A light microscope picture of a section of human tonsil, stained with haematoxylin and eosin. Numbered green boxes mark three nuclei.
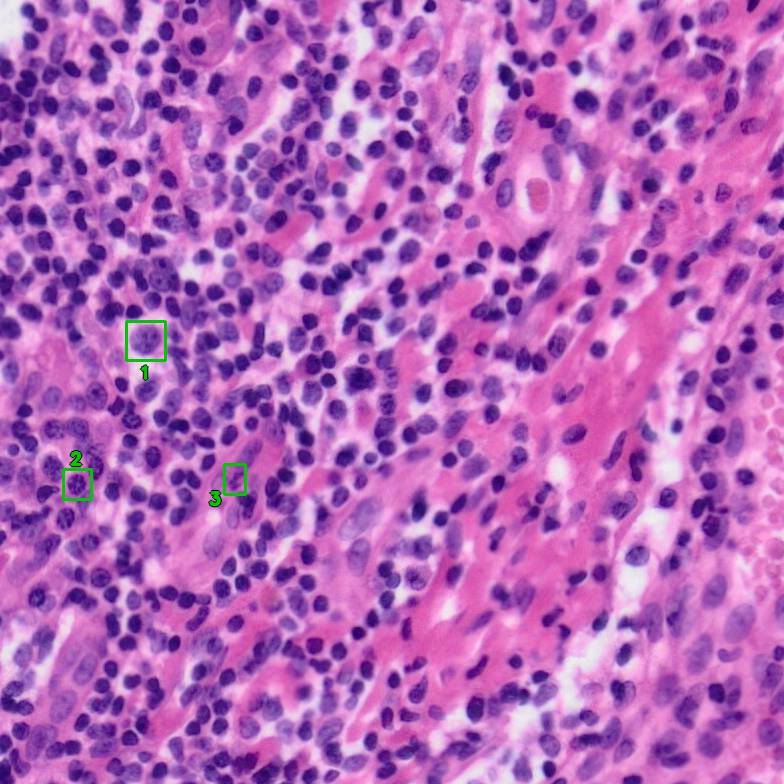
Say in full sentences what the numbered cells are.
Cell 1 is a proliferating B cell. Cell 2 is a plasma cell. Cell 3 is an endothelial cell.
